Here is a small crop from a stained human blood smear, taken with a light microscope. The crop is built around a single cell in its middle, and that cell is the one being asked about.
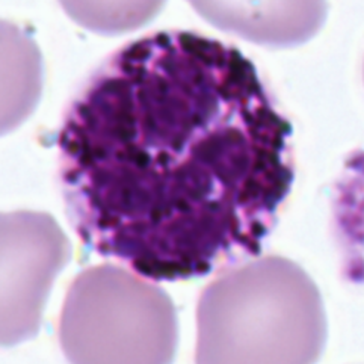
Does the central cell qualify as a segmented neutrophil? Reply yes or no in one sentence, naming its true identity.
No, the centre cell counts as a basophil, not as a segmented neutrophil.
